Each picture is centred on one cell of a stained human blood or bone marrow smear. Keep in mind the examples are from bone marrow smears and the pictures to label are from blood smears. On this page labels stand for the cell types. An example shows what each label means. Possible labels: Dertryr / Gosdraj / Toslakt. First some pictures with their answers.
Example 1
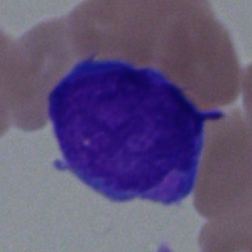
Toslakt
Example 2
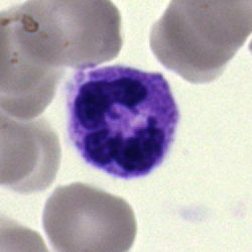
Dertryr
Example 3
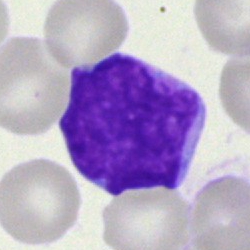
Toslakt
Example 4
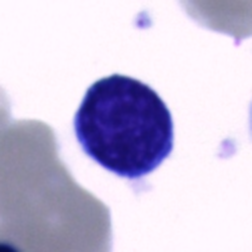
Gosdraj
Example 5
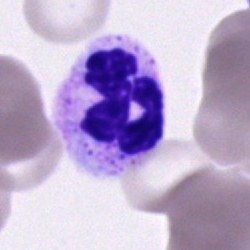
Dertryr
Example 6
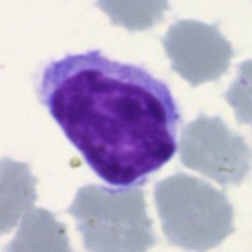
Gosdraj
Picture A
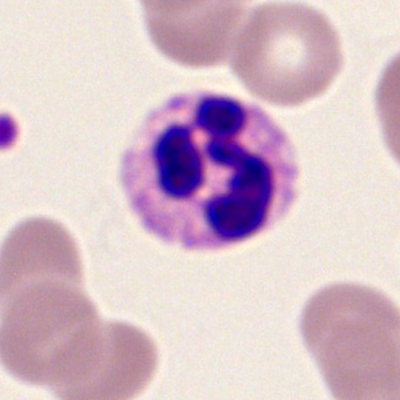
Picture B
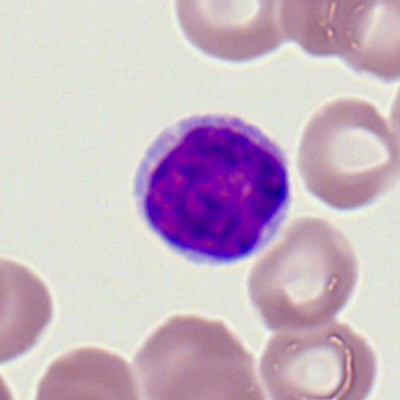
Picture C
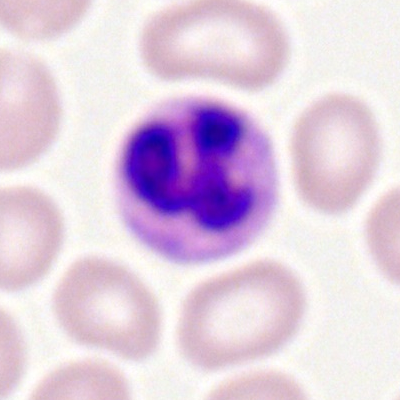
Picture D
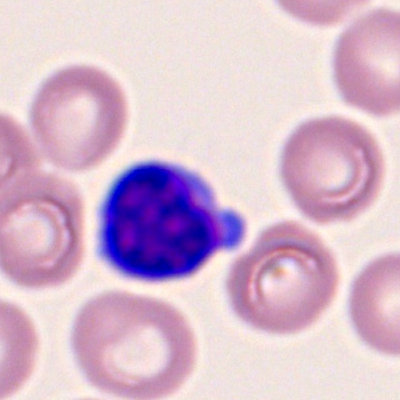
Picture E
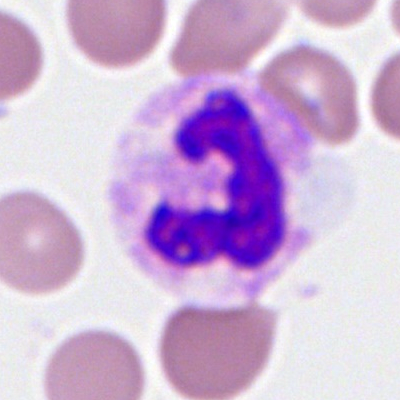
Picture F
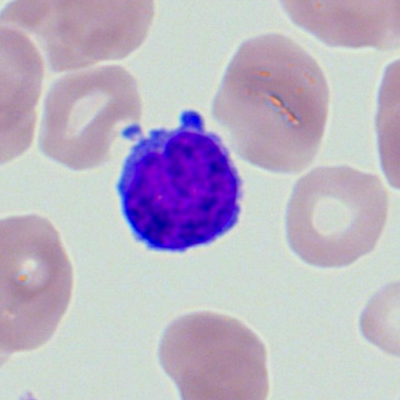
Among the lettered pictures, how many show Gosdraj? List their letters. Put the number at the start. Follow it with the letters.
3: B, D, F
